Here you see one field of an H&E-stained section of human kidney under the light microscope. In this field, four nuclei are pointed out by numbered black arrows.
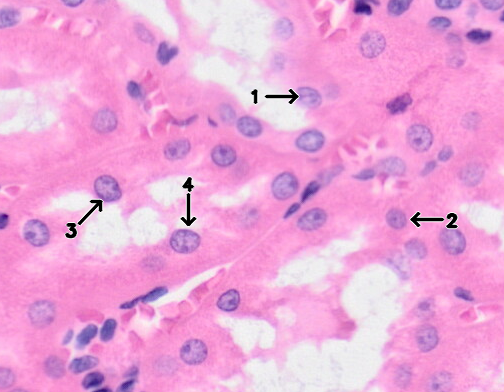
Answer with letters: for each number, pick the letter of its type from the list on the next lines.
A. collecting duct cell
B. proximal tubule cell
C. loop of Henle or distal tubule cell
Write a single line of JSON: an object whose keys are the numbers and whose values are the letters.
{"1": "A", "2": "B", "3": "B", "4": "B"}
